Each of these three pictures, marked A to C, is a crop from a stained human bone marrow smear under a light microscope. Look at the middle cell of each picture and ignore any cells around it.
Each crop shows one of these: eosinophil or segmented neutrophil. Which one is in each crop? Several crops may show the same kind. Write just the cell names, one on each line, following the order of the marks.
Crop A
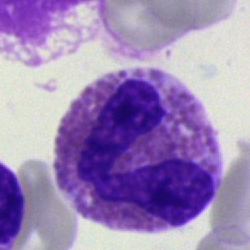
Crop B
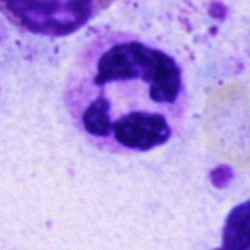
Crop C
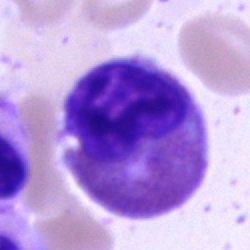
eosinophil
segmented neutrophil
eosinophil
